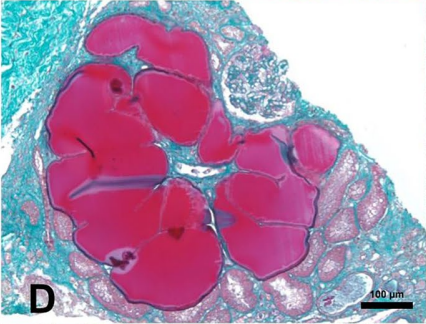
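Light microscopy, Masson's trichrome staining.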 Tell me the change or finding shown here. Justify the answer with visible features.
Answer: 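Several very large tubular profiles are filled with bright red homogeneous material. The profiles press against one another with moulded, fitted outlines. Normal-sized tubules and a glomerulus lie at the edge. That points to this answer: Enlarged tubules with moulding of the contours.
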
